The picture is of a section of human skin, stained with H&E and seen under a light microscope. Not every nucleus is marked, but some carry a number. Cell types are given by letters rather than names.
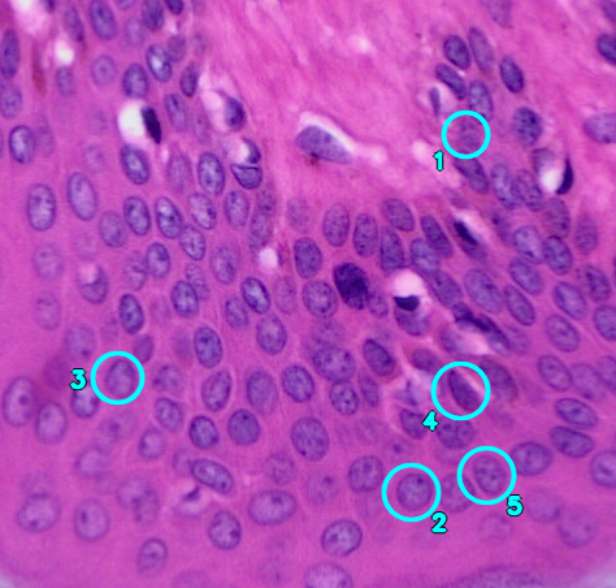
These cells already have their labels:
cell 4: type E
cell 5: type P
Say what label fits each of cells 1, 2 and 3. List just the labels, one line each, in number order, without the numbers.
type E
type P
type P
